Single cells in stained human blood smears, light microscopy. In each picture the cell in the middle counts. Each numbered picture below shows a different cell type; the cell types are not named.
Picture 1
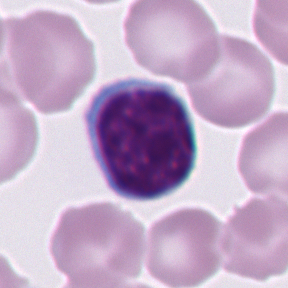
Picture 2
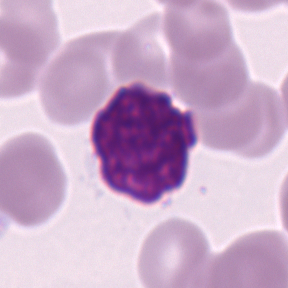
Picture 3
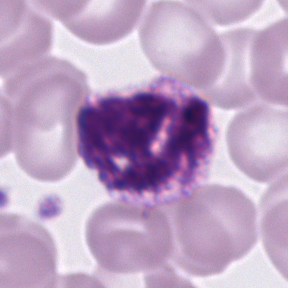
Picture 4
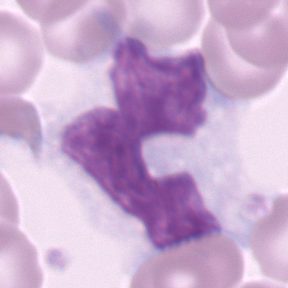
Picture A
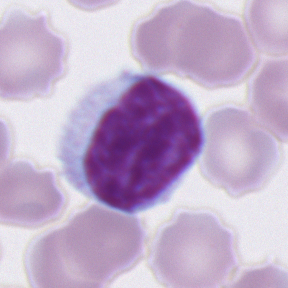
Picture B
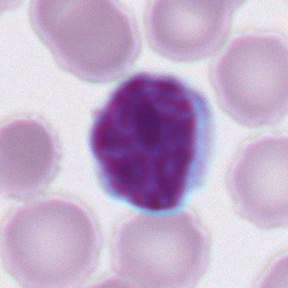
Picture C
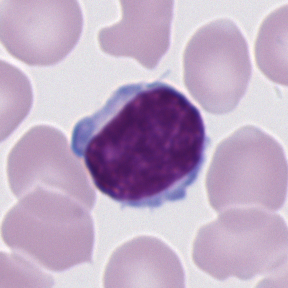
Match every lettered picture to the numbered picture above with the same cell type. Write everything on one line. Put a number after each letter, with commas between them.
A 1, B 1, C 1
